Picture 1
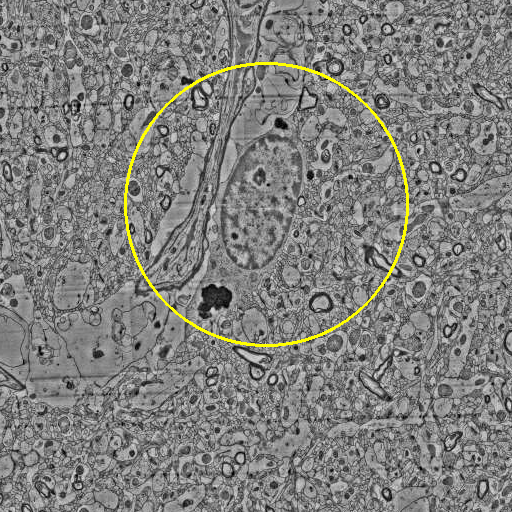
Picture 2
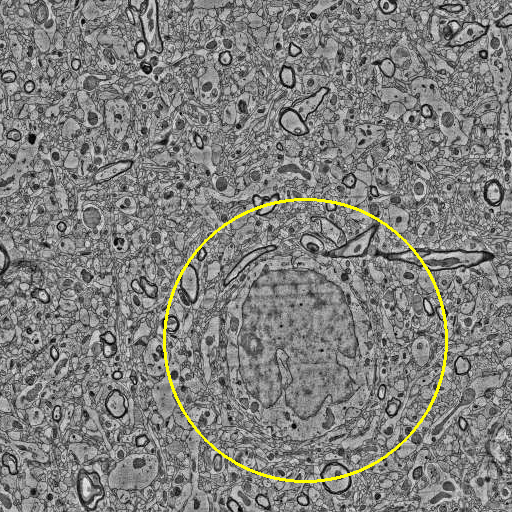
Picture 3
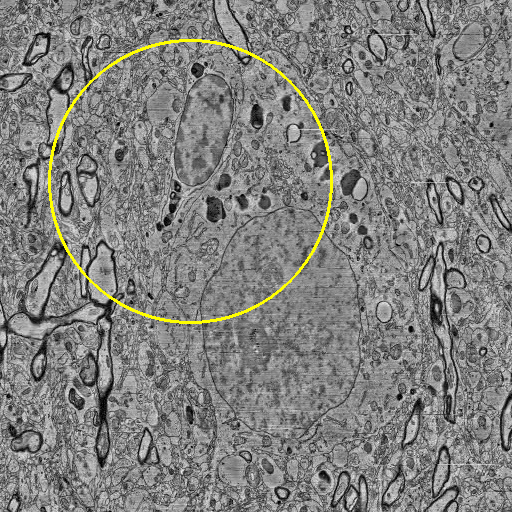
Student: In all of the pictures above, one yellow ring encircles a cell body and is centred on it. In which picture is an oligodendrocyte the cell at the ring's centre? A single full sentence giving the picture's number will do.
Picture number 1 has the wanted cell right at the centre of its ring.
